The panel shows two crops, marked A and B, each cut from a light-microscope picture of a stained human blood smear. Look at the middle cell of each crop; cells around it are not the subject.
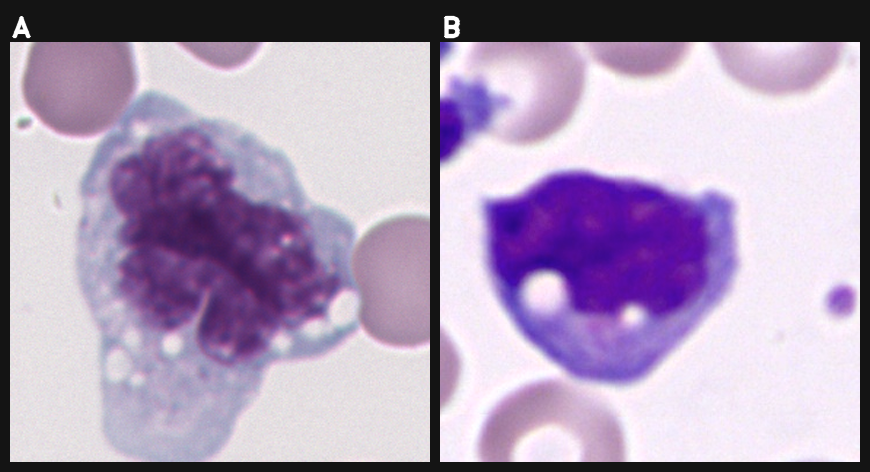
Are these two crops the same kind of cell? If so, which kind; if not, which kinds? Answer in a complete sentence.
Yes, in both crops, monocytes are the cells at the middle.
